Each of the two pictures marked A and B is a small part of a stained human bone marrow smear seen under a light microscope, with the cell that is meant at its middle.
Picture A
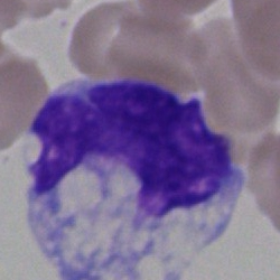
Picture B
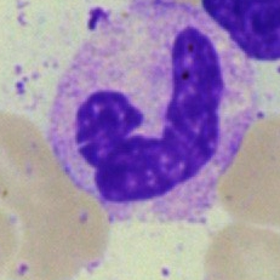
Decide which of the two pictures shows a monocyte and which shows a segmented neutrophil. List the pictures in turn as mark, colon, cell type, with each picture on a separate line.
A: monocyte
B: segmented neutrophil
